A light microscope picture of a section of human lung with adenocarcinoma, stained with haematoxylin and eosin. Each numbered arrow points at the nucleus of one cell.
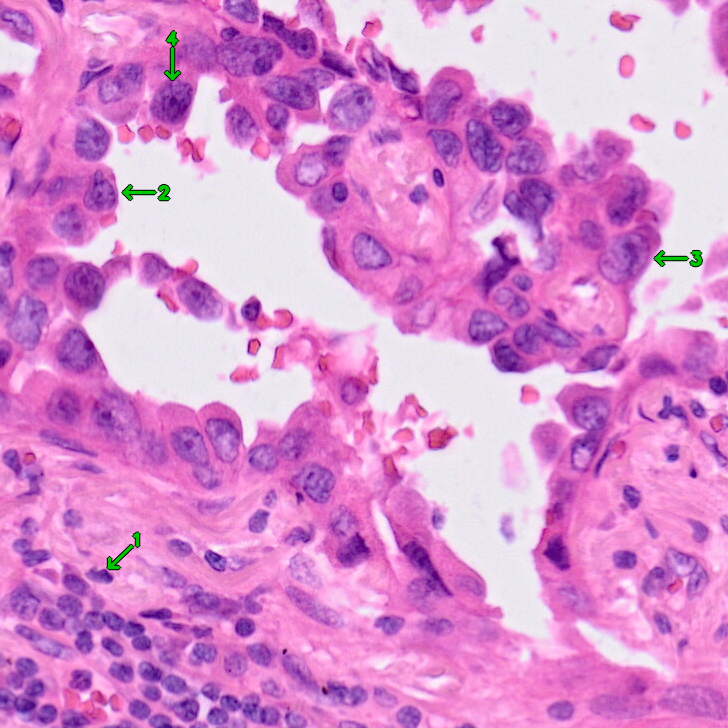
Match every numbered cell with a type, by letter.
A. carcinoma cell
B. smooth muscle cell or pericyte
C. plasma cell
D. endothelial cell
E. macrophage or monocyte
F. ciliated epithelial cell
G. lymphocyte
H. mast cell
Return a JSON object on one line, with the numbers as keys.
{"1": "G", "2": "A", "3": "A", "4": "A"}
